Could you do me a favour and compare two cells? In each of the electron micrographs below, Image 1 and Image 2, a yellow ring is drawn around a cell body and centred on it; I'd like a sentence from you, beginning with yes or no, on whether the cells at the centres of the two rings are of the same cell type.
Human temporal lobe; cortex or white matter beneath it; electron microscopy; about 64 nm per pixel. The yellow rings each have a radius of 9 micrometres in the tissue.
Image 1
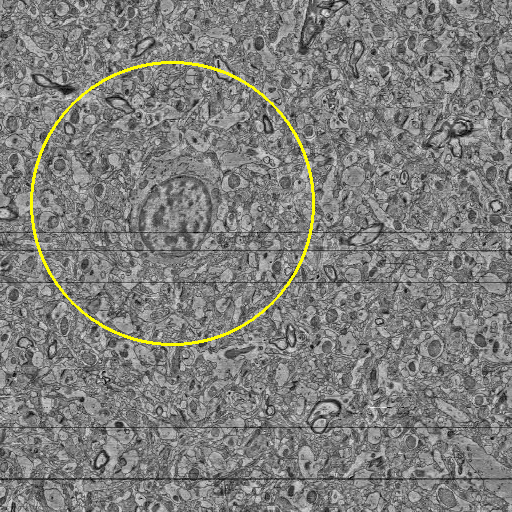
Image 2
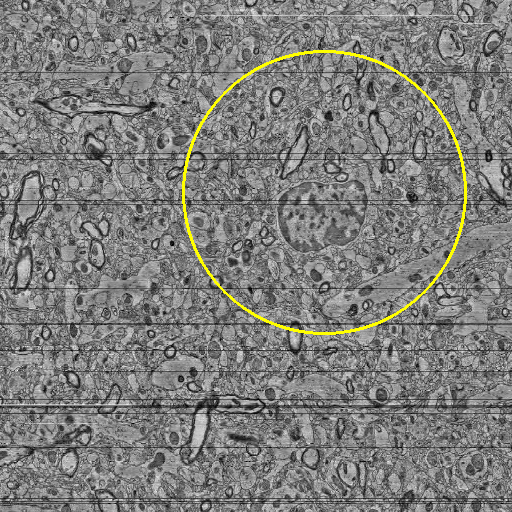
No, the two cells are of two cell types.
